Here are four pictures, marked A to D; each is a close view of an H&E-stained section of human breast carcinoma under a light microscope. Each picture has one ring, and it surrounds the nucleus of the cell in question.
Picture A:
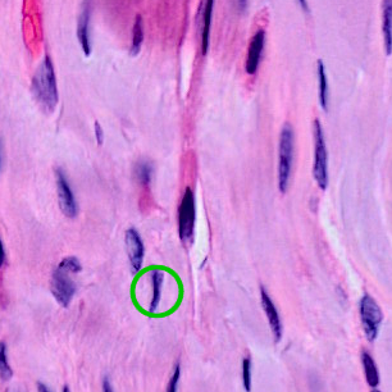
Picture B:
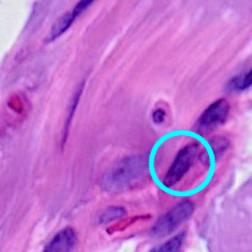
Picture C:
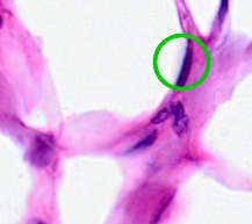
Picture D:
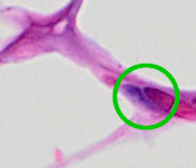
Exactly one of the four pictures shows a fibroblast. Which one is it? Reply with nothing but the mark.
A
